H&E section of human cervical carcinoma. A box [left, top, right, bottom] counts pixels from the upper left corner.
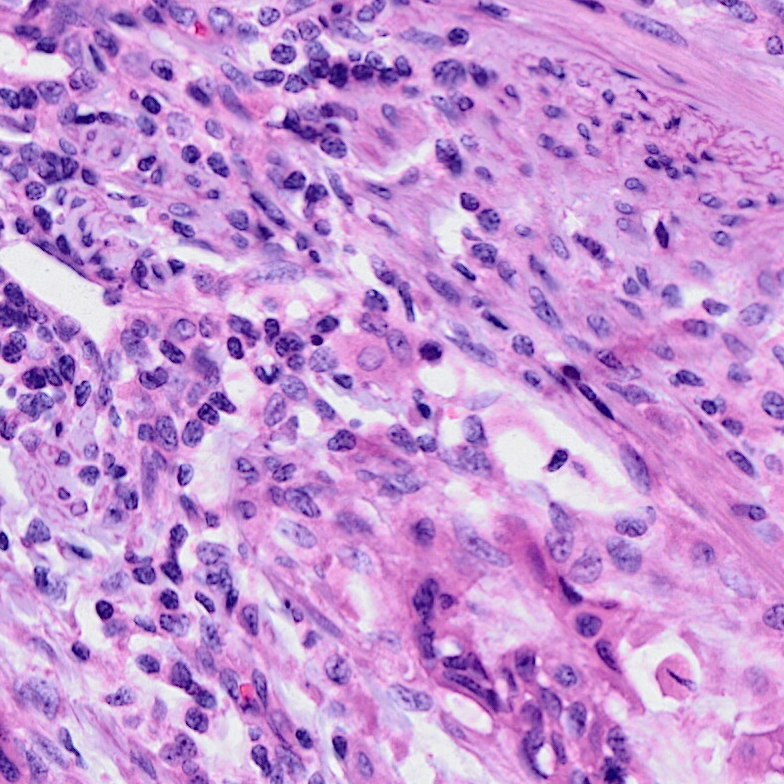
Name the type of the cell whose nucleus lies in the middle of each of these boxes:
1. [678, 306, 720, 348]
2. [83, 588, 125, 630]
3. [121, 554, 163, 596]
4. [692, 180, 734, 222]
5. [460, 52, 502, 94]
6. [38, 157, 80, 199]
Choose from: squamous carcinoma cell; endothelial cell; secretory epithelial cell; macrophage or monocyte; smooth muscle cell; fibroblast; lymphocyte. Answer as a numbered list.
1. macrophage or monocyte
2. lymphocyte
3. lymphocyte
4. smooth muscle cell
5. lymphocyte
6. lymphocyte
